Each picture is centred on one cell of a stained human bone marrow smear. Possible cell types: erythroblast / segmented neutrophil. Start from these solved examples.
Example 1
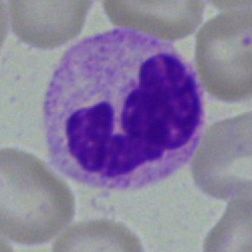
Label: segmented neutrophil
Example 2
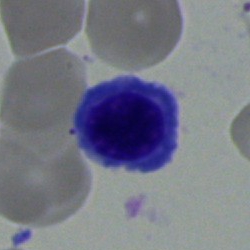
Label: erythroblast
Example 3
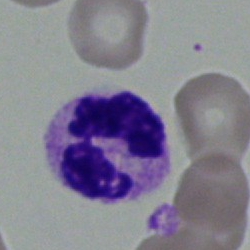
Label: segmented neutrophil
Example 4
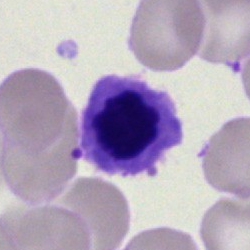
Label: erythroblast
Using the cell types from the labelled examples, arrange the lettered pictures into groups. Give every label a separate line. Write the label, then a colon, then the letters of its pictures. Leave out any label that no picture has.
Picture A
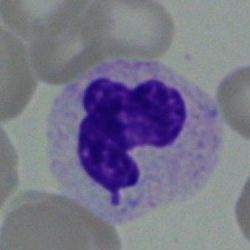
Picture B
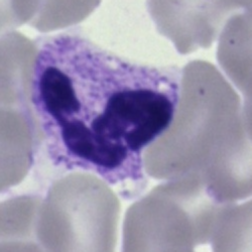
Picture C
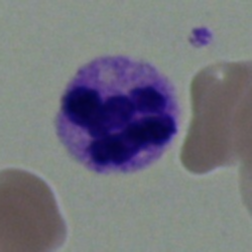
segmented neutrophil: A, B, C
